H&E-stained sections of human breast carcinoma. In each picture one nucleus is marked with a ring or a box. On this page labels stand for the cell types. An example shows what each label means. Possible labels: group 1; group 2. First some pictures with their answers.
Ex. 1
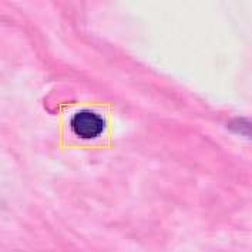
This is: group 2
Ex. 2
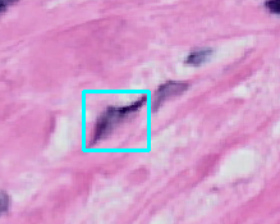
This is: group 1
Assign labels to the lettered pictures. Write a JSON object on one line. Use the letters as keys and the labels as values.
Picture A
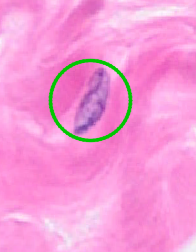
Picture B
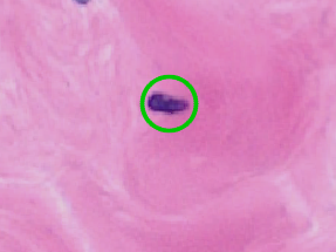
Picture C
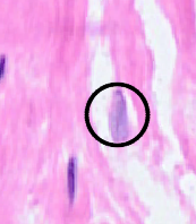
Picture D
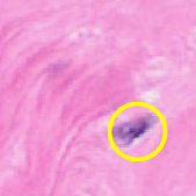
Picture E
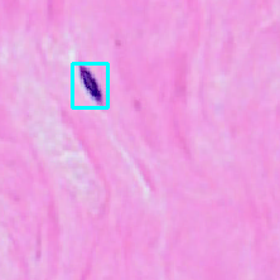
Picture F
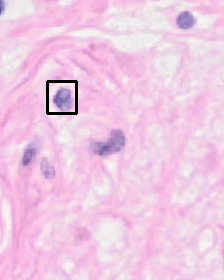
{"A": "group 1", "B": "group 2", "C": "group 1", "D": "group 1", "E": "group 1", "F": "group 2"}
